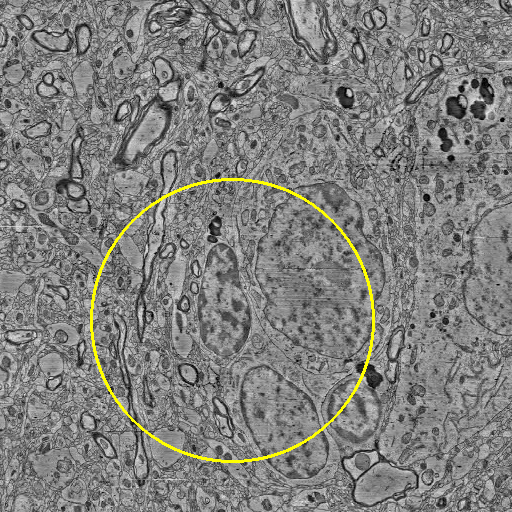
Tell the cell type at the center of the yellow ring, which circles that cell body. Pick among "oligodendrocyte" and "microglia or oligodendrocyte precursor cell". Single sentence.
The ring is centered on the body of a microglial cell or oligodendrocyte precursor cell.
